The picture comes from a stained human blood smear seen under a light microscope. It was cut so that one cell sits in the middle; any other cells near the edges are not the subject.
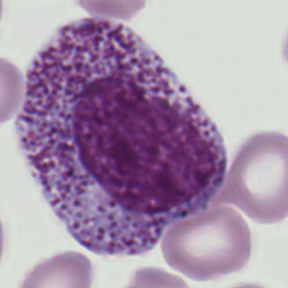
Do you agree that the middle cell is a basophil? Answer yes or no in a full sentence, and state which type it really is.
No, instead of a basophil, the middle cell is a promyelocyte.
